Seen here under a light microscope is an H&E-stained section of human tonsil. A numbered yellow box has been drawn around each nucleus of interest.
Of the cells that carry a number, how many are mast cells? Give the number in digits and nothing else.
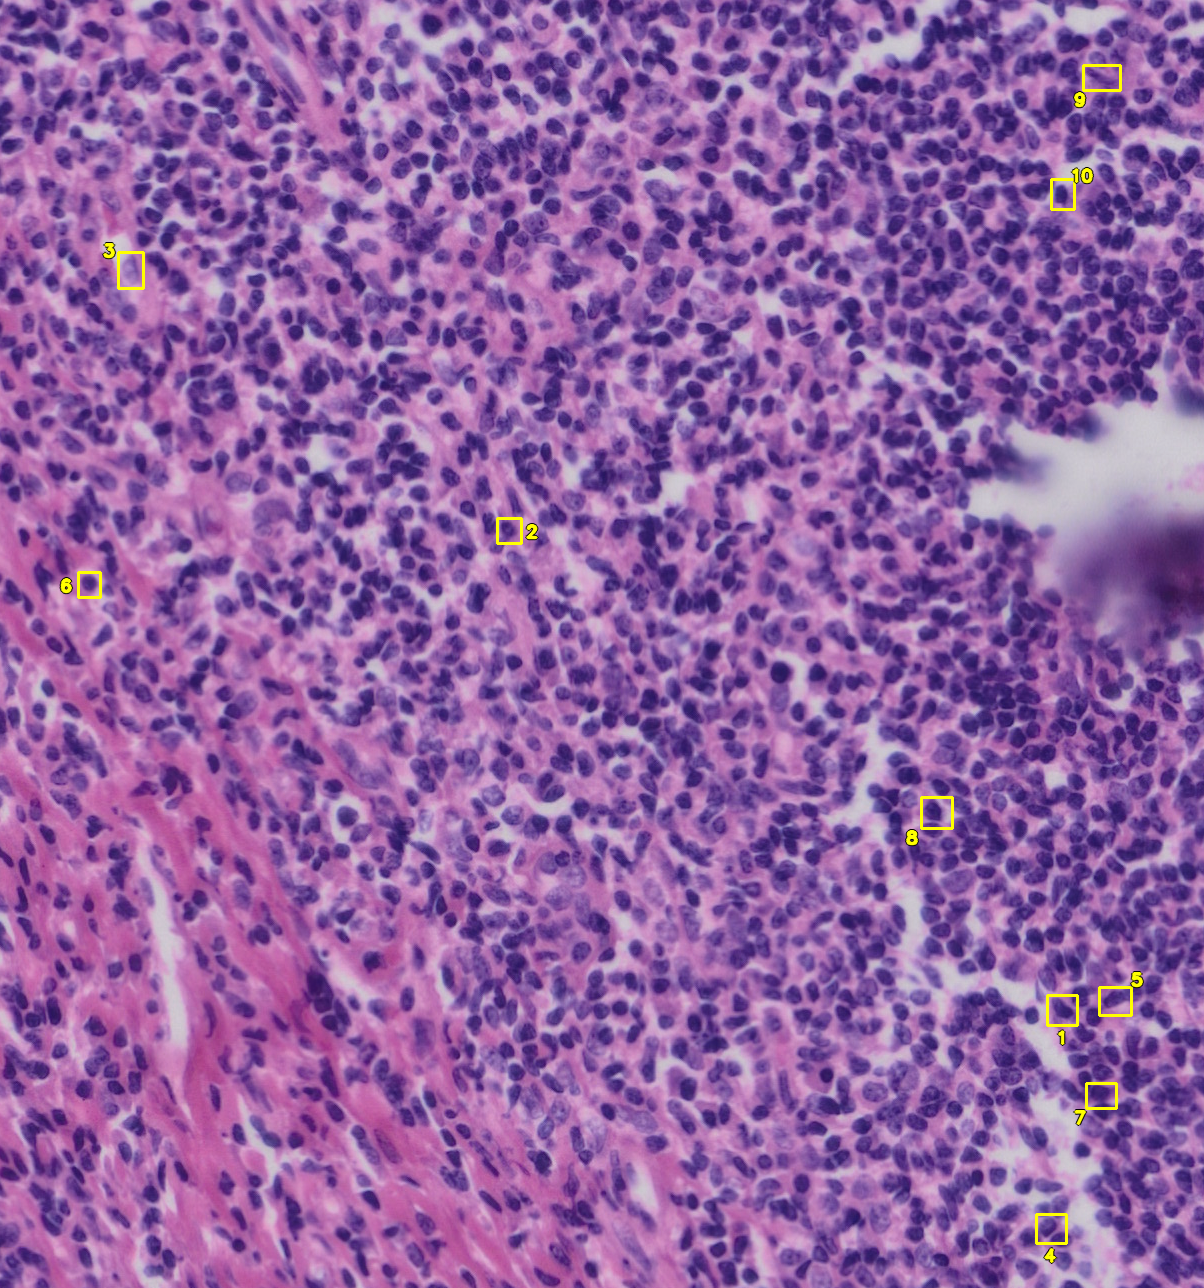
1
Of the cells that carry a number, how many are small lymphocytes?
6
